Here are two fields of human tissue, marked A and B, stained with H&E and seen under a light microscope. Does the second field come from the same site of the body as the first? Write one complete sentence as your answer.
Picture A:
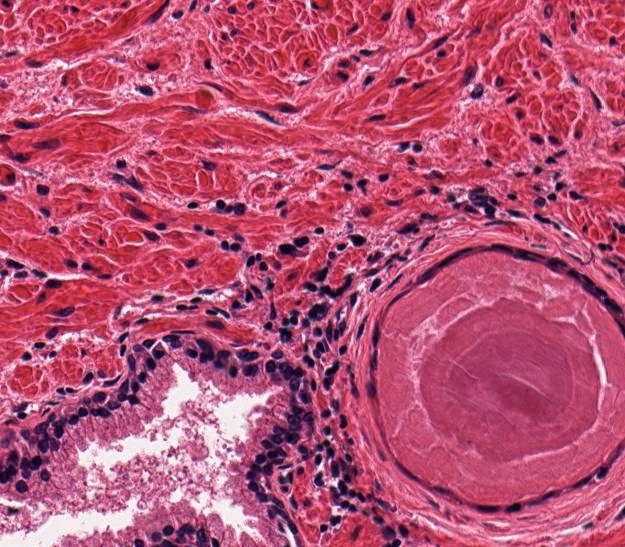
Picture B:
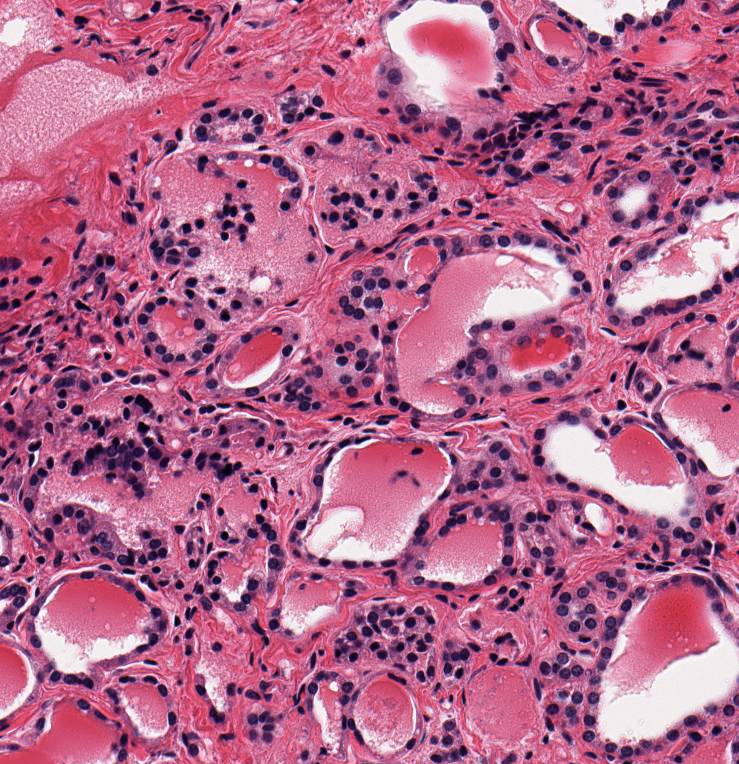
No, they differ: picture A comes from the prostate, and picture B comes from the thyroid.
